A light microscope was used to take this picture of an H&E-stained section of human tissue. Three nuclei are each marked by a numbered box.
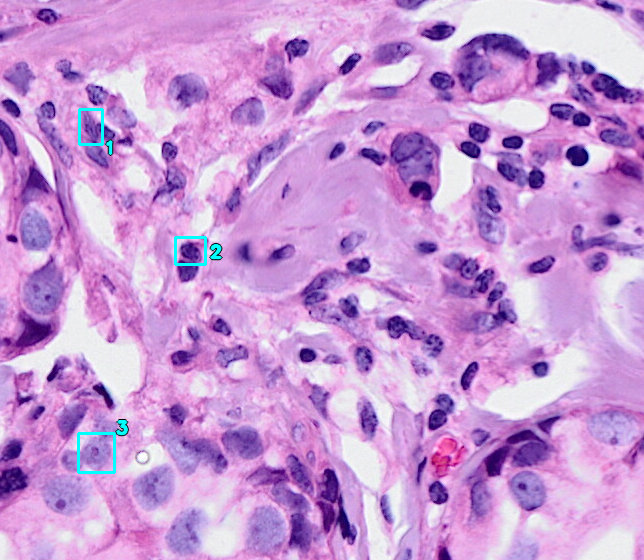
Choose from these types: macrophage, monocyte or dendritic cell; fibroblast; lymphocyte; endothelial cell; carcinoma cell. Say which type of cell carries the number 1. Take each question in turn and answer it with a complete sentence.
The cell tagged with 1 in this tissue section is an endothelial cell.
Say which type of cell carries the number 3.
The numbered cell 3 in this field is a carcinoma cell.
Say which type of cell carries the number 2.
The one labeled 2 is a lymphocyte, to put it simply.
